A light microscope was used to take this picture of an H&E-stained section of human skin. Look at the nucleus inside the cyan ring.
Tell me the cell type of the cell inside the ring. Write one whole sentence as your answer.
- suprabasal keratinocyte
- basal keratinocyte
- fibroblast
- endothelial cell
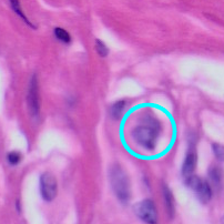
For the purposes of cell typing, the cell inside the ring is categorized as an endothelial cell.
